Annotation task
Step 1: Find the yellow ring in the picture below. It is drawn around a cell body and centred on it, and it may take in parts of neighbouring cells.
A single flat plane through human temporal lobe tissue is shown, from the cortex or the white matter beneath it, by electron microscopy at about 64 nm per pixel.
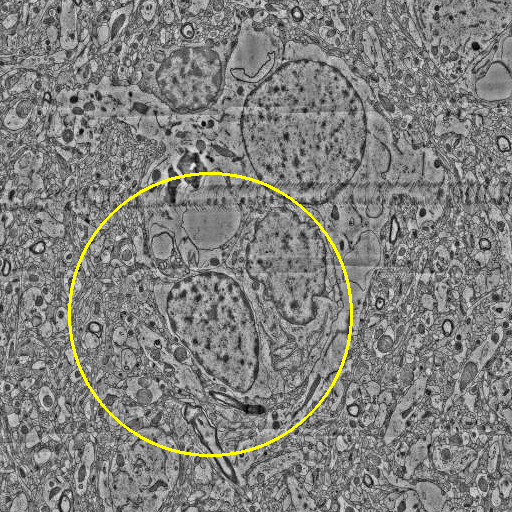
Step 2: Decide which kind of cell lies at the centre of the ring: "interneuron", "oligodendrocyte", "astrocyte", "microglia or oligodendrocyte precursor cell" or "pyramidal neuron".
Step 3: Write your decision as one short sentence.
The kind of cell at the ring's centre is a microglial cell or oligodendrocyte precursor cell.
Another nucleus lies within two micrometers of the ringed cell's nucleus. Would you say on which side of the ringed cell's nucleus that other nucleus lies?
The other nucleus is situated to the upper right of it.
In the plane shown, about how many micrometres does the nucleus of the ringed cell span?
In this plane the nucleus is roughly 8 by 5 micrometres, clearly longer than it is wide.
